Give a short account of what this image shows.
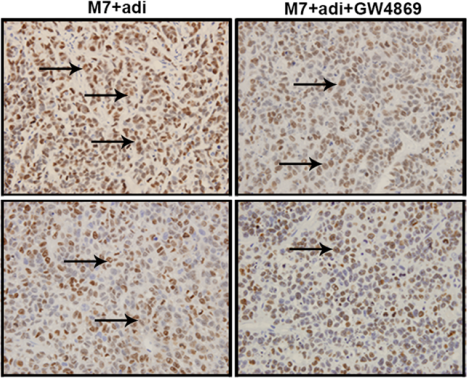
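Four fields of densely packed tumor cells growing in solid sheets with little intervening stroma. Many nuclei are stained brown, while the others are counterstained blue. The brown nuclei are oval to rounded and scattered throughout each field. The proportion of brown nuclei differs between the four fields.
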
